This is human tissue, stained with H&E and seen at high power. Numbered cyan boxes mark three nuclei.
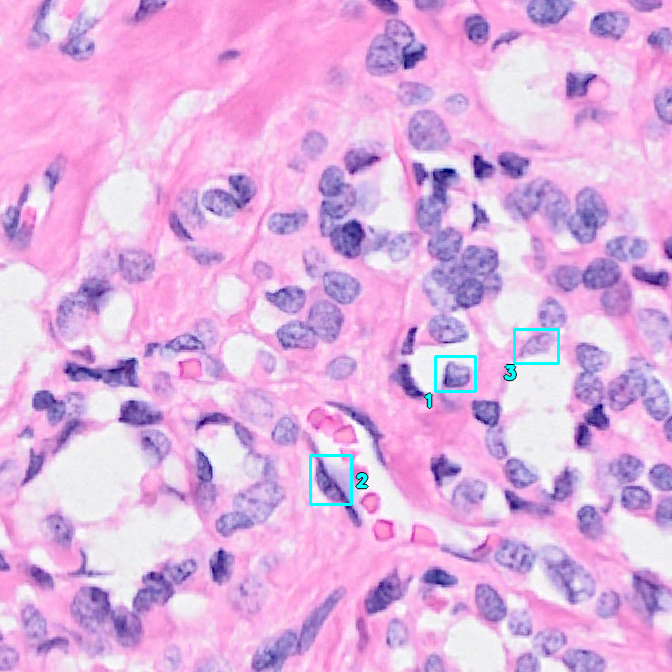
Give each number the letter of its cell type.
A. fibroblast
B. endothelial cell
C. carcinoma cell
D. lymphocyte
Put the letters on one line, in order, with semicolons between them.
C; B; C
